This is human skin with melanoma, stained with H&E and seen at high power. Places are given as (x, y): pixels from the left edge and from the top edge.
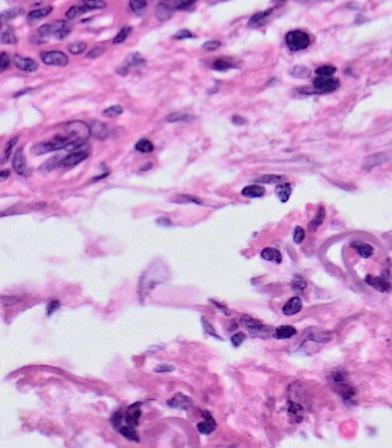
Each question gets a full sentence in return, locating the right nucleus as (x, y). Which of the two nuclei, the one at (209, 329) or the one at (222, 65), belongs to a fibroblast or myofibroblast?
Out of the two, it is the nucleus at (209, 329) that belongs to a fibroblast or myofibroblast.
